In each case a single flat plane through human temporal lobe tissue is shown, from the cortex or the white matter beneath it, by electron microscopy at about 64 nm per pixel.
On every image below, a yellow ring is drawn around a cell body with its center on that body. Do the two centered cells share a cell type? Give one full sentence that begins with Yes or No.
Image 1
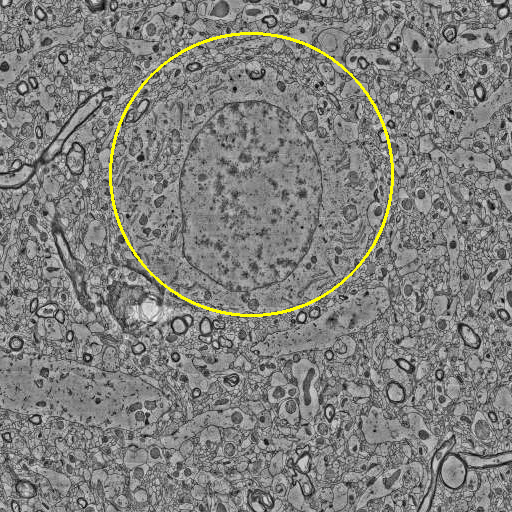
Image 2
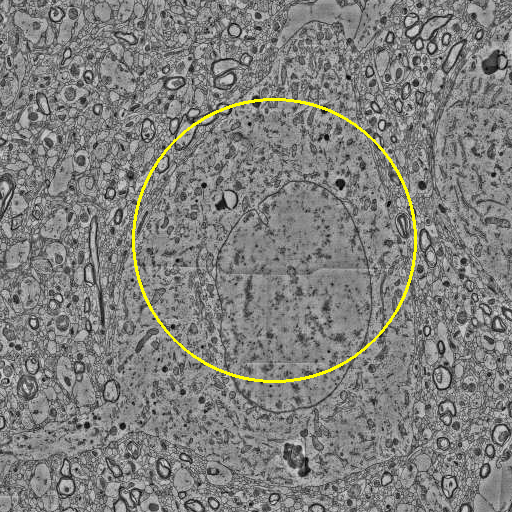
No, the centered cells in the two images are of two separate cell types.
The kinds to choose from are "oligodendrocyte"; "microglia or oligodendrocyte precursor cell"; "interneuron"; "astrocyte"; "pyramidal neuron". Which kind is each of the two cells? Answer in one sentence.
Of the two, the first cell is an interneuron and the second cell is a pyramidal neuron.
